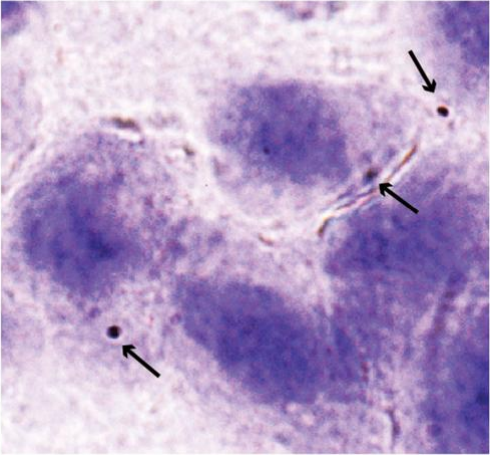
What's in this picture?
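The cell outlines are soft and the cells press closely against one another. Only a few tiny, round, dark granules are seen, scattered singly at the edges of and between the cells. Thin streaks run along the boundary between two of the cells near one of the granules.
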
